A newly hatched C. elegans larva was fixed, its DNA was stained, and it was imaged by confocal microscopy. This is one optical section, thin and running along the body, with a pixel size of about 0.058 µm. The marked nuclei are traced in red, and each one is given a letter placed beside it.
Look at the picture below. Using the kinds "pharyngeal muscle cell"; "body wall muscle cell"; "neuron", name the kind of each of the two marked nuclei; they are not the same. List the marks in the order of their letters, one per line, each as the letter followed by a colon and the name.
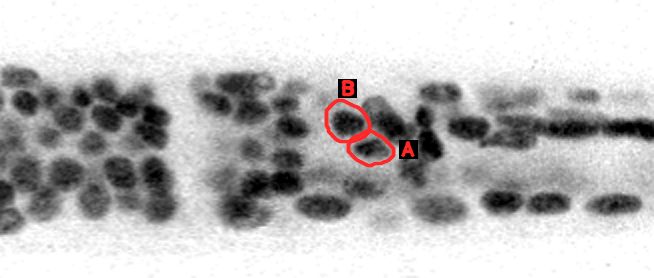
A: pharyngeal muscle cell
B: neuron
